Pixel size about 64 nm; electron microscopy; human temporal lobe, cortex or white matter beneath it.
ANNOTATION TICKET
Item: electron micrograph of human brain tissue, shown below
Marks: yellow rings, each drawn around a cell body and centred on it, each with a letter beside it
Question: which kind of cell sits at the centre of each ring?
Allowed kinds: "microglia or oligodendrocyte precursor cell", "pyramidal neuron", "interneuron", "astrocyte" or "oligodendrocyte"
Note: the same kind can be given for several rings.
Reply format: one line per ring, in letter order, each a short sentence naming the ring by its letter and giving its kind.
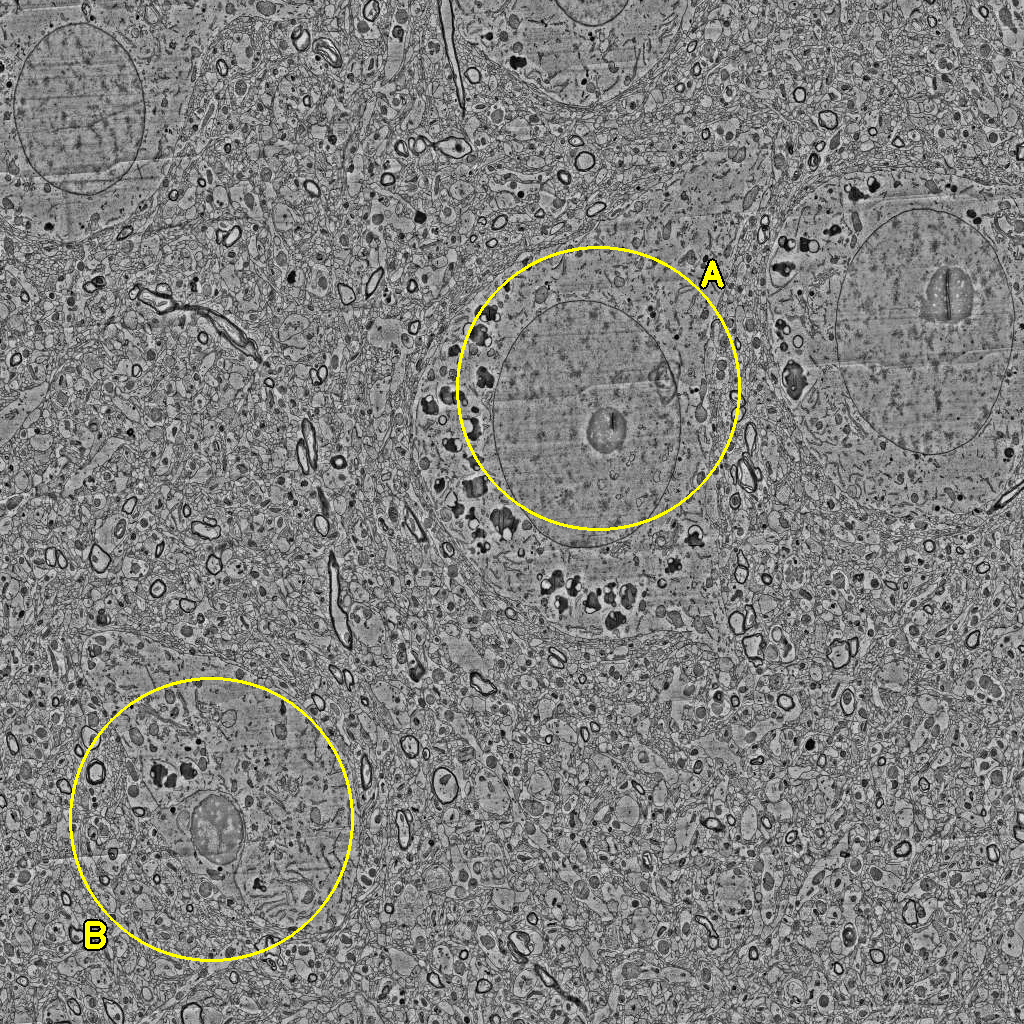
The cell at the centre of ring A is a pyramidal neuron.
The cell at the centre of ring B is an oligodendrocyte.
